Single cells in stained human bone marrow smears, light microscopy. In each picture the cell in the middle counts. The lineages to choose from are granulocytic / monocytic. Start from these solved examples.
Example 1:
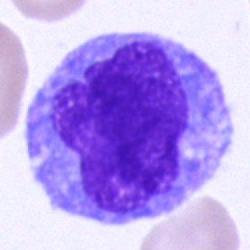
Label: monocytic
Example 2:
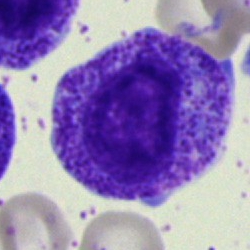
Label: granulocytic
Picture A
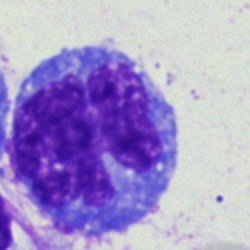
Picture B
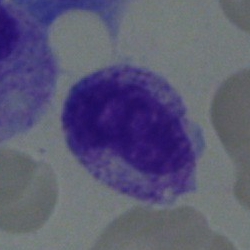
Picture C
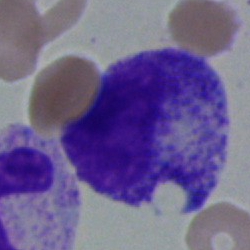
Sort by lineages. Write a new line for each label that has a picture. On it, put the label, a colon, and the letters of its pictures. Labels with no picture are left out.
granulocytic: B, C
monocytic: A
